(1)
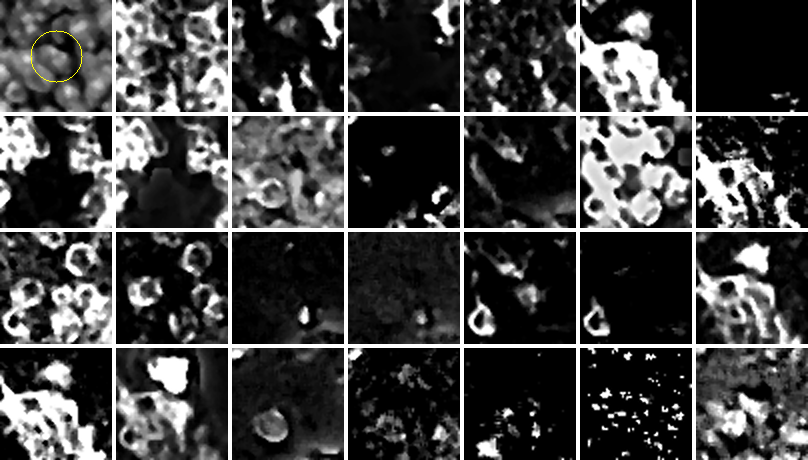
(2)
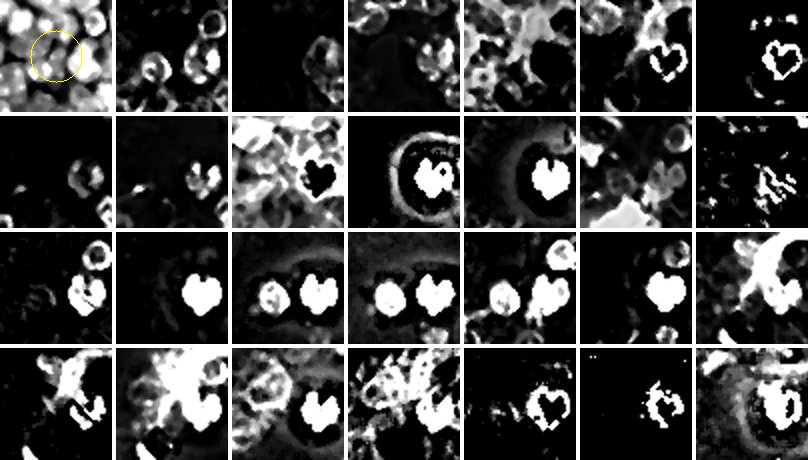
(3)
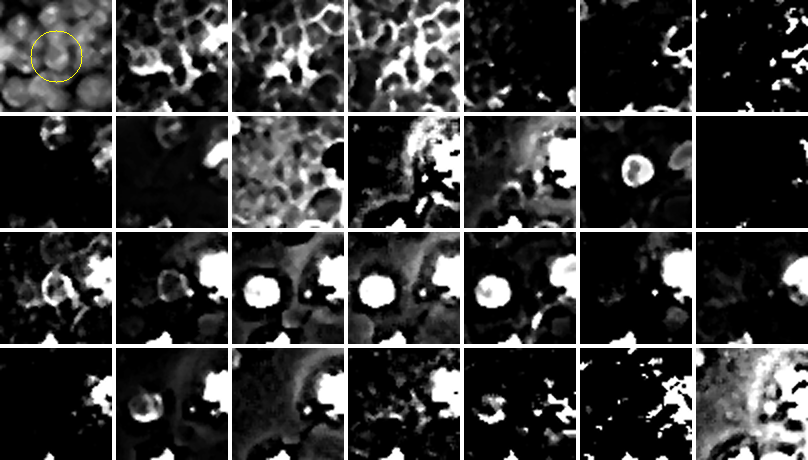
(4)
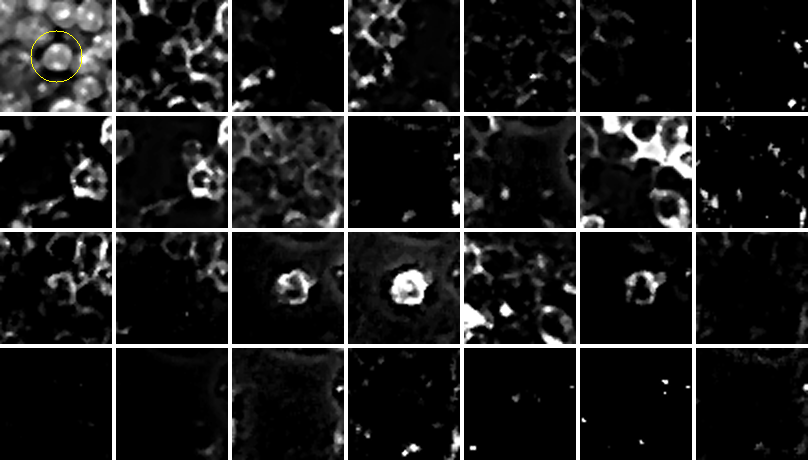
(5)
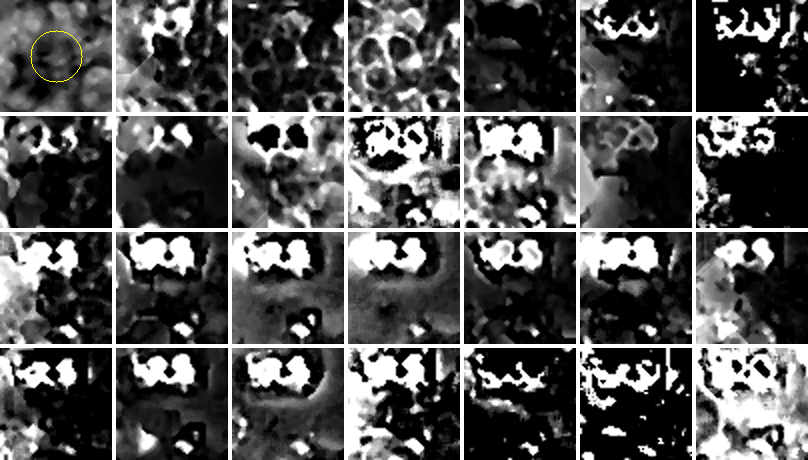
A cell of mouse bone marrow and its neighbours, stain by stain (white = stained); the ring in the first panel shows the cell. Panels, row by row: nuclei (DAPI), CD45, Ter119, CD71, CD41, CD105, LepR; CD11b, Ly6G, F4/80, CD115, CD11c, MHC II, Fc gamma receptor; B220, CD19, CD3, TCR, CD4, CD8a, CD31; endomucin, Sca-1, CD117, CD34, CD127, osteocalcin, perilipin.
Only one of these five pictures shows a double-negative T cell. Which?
Picture 4.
